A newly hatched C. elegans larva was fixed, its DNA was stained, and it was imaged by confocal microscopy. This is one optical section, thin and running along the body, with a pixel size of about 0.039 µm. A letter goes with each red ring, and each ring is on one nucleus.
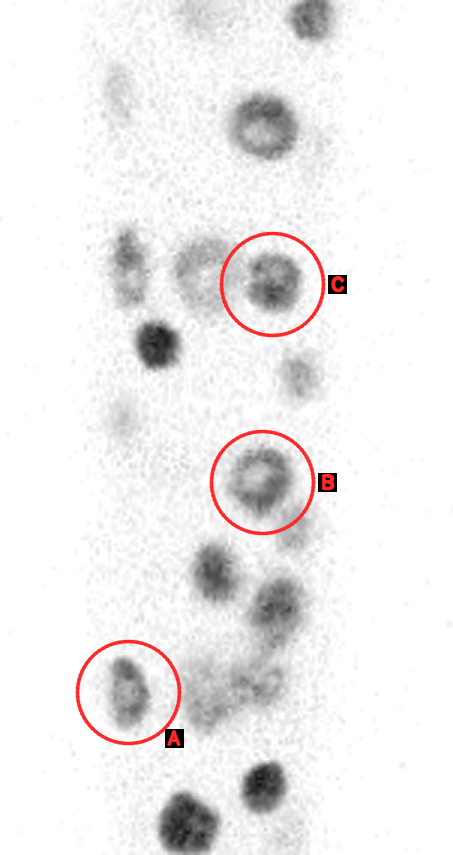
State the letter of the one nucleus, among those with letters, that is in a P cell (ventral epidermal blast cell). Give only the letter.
C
